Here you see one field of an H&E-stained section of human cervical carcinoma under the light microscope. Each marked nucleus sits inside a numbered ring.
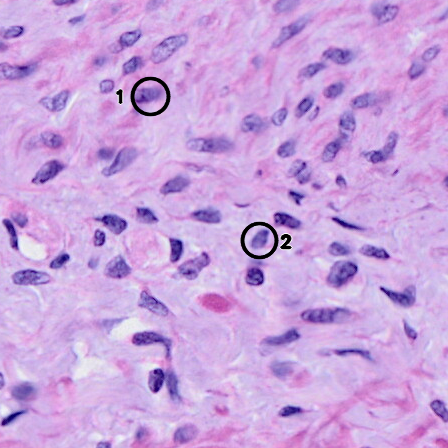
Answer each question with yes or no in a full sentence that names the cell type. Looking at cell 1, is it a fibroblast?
No, a fibroblast is not what cell 1 is; it is a smooth muscle cell.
